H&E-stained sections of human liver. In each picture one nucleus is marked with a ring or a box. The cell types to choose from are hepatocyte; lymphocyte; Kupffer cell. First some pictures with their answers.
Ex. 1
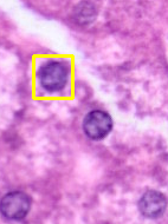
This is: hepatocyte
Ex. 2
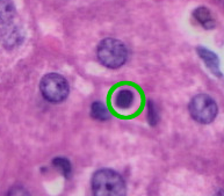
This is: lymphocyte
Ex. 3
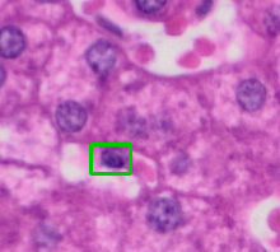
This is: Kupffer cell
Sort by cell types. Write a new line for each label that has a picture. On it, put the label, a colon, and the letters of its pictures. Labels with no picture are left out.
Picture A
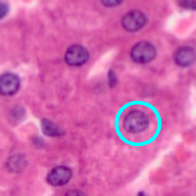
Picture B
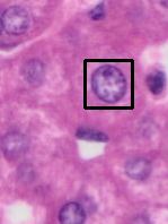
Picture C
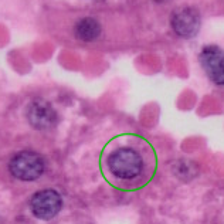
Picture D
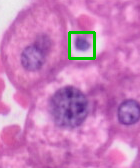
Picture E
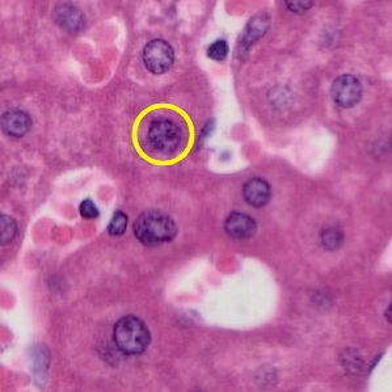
hepatocyte: A, B, C, E
lymphocyte: D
